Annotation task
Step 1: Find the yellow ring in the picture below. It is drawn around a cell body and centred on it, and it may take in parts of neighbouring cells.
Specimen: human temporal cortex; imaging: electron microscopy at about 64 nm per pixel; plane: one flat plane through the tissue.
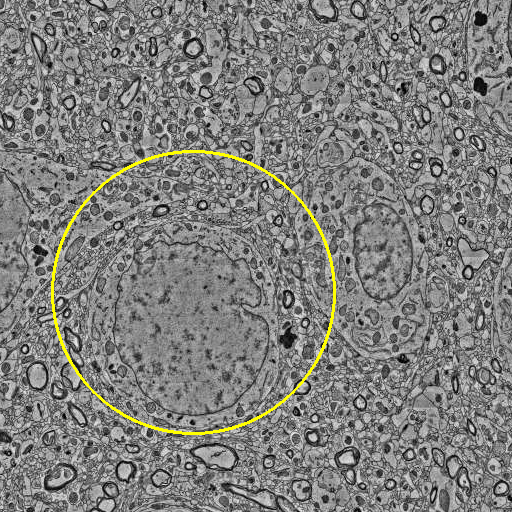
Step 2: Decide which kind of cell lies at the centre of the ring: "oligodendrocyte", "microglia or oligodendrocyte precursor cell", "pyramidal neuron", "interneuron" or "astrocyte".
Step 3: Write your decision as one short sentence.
The kind of cell at the ring's centre is a pyramidal neuron.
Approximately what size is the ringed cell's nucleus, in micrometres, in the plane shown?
In this plane, approximately 12 by 10 micrometers.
